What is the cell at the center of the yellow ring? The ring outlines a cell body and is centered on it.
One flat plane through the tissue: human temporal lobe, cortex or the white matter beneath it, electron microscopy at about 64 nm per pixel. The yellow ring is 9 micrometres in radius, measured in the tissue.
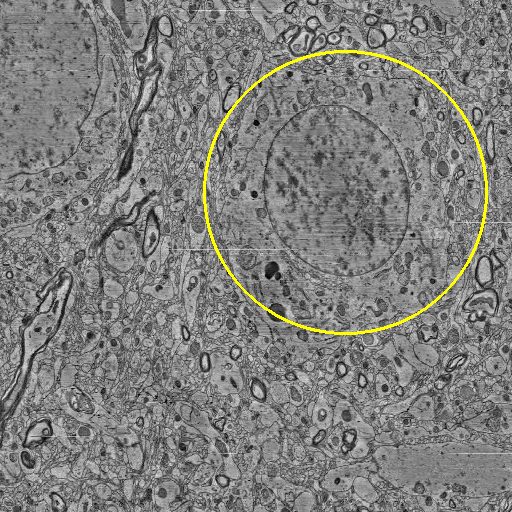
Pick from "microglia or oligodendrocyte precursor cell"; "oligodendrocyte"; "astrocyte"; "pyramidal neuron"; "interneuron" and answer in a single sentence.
The yellow ring is centered on an interneuron.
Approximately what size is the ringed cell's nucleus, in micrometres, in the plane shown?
Roughly 11 micrometres by 9 micrometres, in this plane.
